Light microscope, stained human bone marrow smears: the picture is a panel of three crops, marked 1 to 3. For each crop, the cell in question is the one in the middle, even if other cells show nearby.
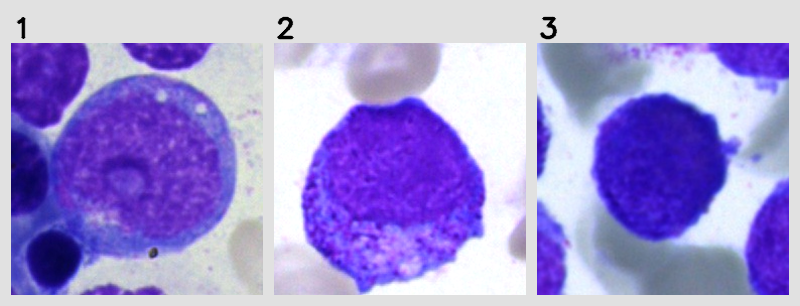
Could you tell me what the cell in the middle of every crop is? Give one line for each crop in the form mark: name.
1: blast
2: promyelocyte
3: blast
